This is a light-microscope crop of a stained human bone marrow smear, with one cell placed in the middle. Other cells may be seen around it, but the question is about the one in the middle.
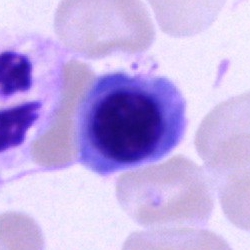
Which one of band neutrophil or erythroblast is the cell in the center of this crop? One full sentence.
The cell at the central position in this crop is an erythroblast.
